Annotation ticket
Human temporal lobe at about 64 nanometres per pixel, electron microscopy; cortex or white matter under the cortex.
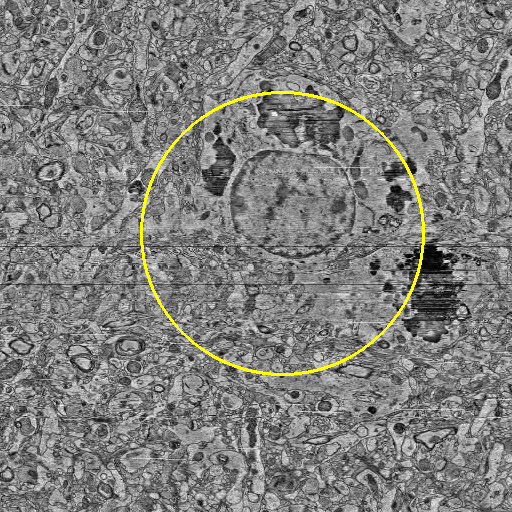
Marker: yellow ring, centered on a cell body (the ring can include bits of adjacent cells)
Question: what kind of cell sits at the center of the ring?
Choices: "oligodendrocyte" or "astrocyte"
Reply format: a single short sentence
The ring is centered on an astrocyte.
